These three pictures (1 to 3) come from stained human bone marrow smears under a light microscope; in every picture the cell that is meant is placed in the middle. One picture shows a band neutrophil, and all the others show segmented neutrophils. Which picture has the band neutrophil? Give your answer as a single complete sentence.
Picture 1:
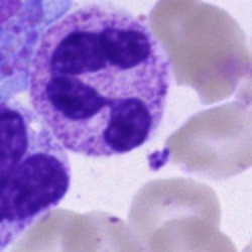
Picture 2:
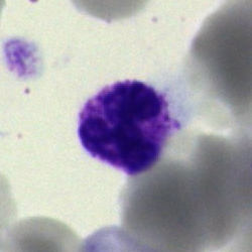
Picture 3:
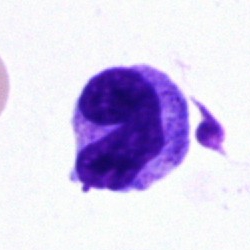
The picture with the band neutrophil is 3.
